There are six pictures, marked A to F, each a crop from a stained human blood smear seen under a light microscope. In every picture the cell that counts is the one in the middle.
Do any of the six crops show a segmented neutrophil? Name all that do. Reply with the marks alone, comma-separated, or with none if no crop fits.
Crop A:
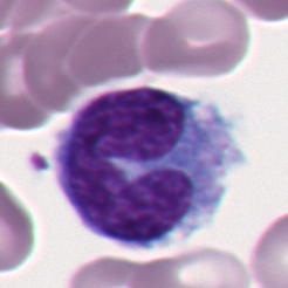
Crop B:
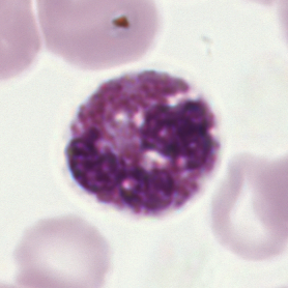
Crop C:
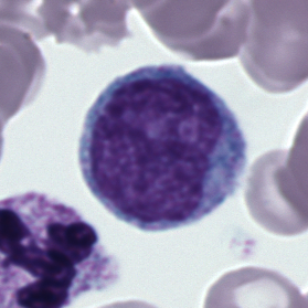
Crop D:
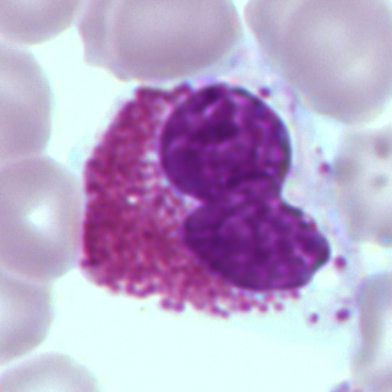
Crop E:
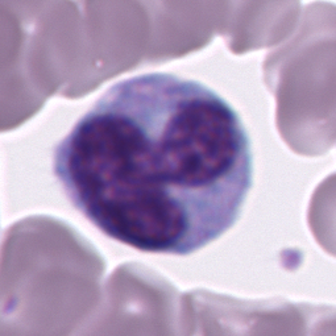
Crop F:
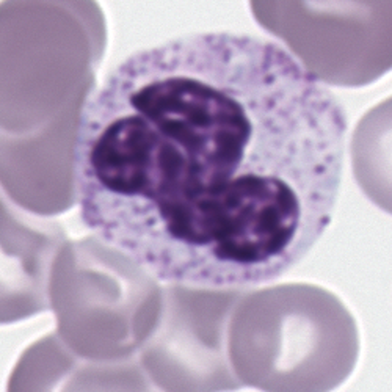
F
